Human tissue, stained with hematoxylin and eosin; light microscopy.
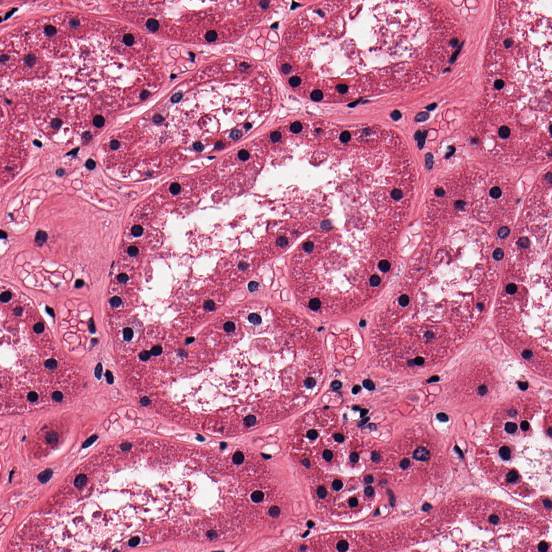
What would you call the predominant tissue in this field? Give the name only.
cortical labyrinth of the kidney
